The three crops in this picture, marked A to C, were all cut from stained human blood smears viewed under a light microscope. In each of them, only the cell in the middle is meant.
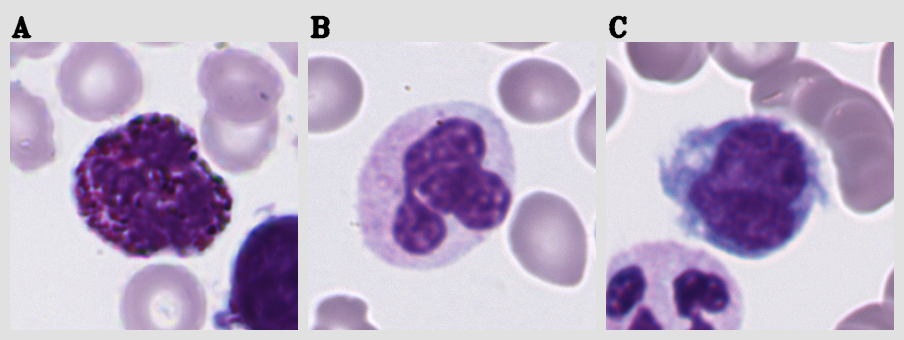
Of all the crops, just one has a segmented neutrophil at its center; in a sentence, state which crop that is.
The crop showing a segmented neutrophil in this series is crop B.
